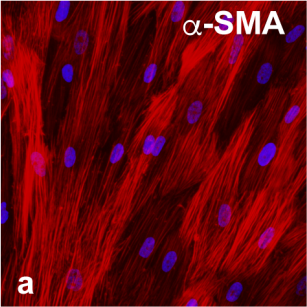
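Cultured smooth muscle cells form a dense sheet of elongated, spindle-shaped cells lying roughly parallel to one another. Their cytoplasm is filled with long, straight red filament bundles running along the length of each cell.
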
